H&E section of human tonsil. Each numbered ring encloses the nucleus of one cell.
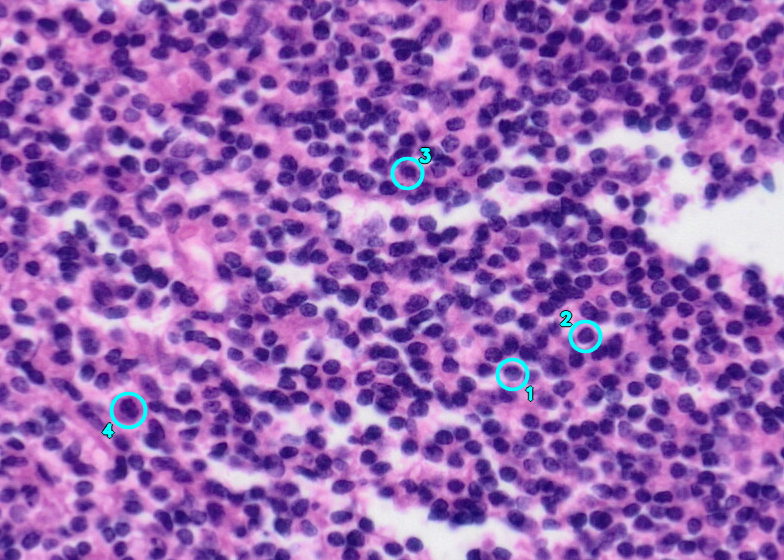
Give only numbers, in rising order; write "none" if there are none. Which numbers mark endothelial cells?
none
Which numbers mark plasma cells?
4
